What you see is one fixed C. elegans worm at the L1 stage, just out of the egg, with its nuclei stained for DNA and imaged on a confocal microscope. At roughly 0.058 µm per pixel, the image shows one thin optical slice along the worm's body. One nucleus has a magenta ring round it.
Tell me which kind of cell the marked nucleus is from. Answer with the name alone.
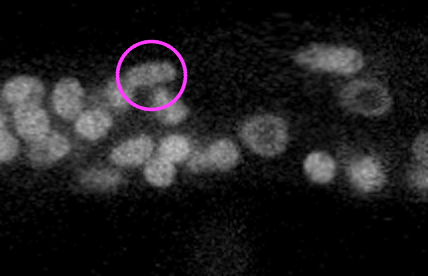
body wall muscle cell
